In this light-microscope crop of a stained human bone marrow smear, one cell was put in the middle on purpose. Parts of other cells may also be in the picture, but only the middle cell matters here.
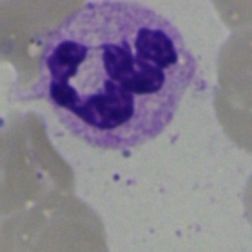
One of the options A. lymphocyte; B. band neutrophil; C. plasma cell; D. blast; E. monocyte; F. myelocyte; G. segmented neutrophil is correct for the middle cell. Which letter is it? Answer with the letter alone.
G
